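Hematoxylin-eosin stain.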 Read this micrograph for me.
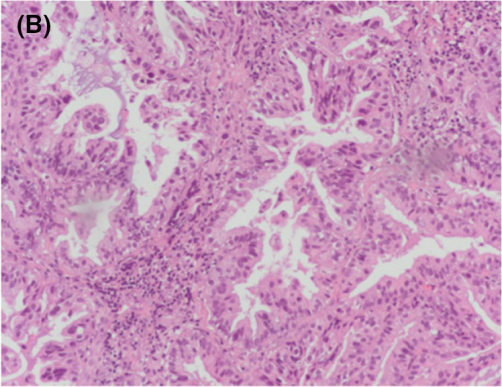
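This section shows a glandular malignant neoplasia made of irregular, branching gland-like spaces. The spaces are lined by crowded epithelial cells with elongated, dark purple nuclei and pink cytoplasm. Some lumens hold pale grey-blue material. Between the glands lies a stroma with scattered small dark nuclei.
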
